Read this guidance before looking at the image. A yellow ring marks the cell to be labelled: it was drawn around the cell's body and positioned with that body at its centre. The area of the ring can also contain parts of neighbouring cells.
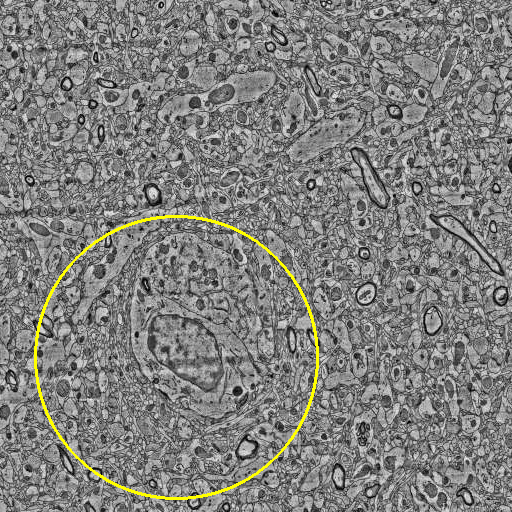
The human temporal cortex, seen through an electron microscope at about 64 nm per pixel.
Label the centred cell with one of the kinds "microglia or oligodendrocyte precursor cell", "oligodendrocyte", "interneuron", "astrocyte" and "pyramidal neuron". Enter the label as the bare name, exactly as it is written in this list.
microglia or oligodendrocyte precursor cell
